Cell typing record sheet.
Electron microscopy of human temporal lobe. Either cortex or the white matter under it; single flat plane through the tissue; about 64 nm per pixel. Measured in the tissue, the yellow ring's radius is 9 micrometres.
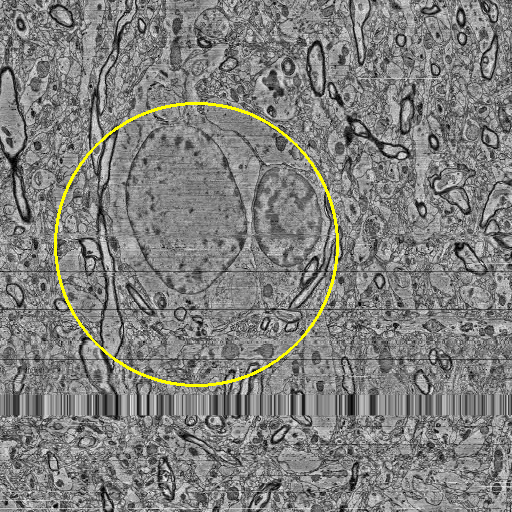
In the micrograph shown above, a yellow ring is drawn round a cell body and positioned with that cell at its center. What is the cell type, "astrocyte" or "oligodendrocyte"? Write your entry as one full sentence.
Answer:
The cell body at the center of the ring belongs to an astrocyte.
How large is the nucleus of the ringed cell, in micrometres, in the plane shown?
The nucleus comes to approximately 11 by 7 micrometres and is clearly longer than it is wide in this plane.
